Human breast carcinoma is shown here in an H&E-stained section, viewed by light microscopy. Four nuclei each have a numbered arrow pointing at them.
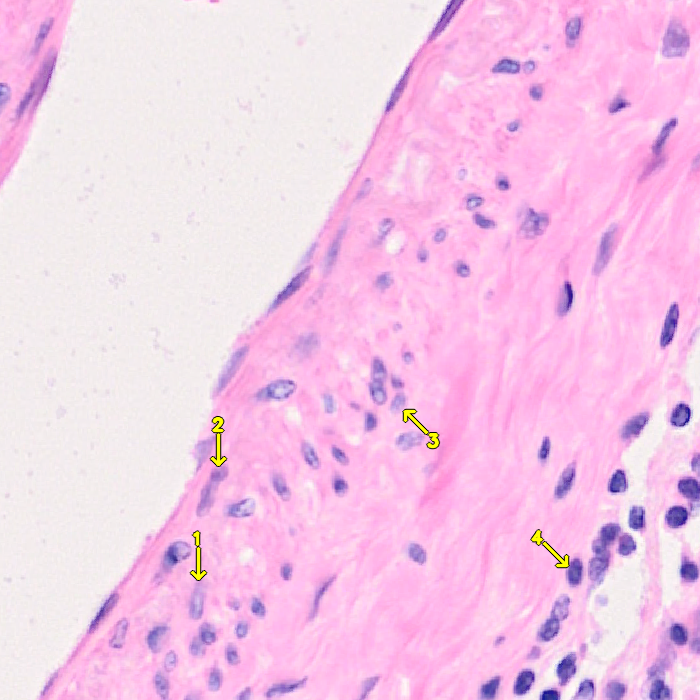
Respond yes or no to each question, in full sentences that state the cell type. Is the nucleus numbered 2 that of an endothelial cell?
Yes, it is an endothelial cell that carries the number 2.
